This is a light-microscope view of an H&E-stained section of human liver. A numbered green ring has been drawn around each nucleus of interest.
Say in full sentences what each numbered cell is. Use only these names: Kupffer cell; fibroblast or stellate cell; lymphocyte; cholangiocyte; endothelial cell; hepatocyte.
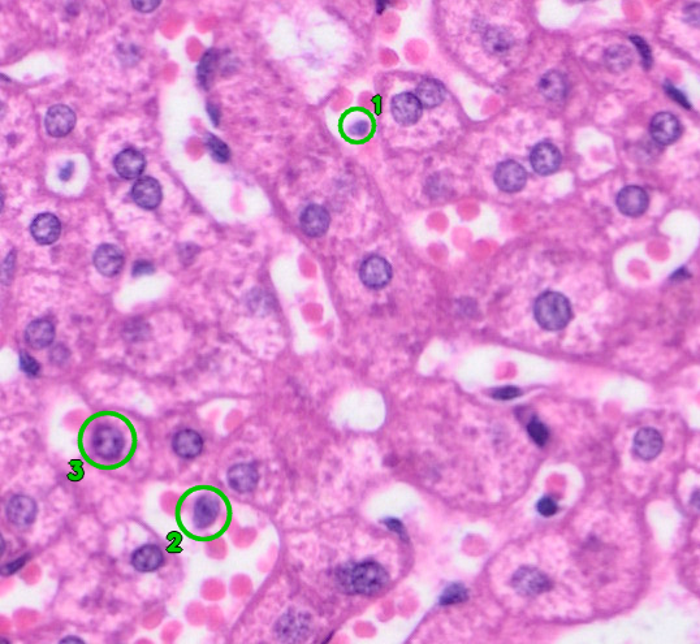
Cell 1 is a lymphocyte. Cell 2 is a Kupffer cell. Cell 3 is a hepatocyte.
